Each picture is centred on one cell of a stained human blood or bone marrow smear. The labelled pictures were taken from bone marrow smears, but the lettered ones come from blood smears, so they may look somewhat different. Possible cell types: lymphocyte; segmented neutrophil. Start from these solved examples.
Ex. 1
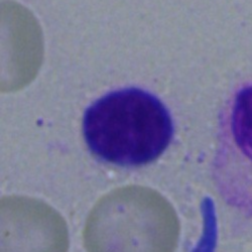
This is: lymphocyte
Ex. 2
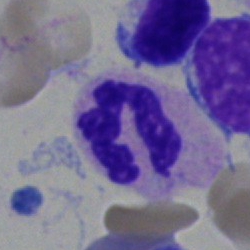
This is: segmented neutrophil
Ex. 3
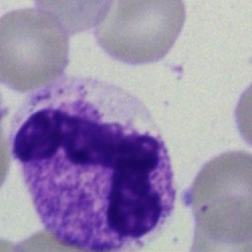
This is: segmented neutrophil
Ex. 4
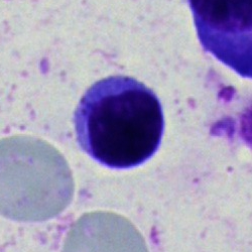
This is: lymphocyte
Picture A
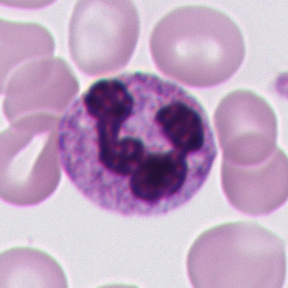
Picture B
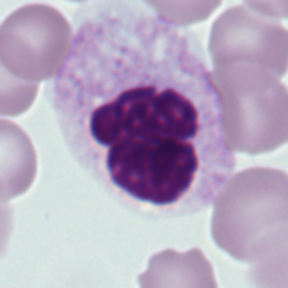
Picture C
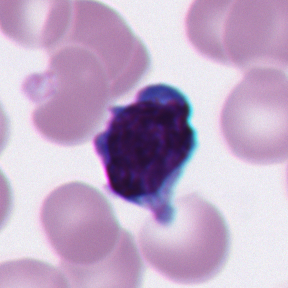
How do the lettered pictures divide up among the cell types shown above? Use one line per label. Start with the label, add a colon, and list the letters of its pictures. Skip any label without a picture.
lymphocyte: C
segmented neutrophil: A, B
